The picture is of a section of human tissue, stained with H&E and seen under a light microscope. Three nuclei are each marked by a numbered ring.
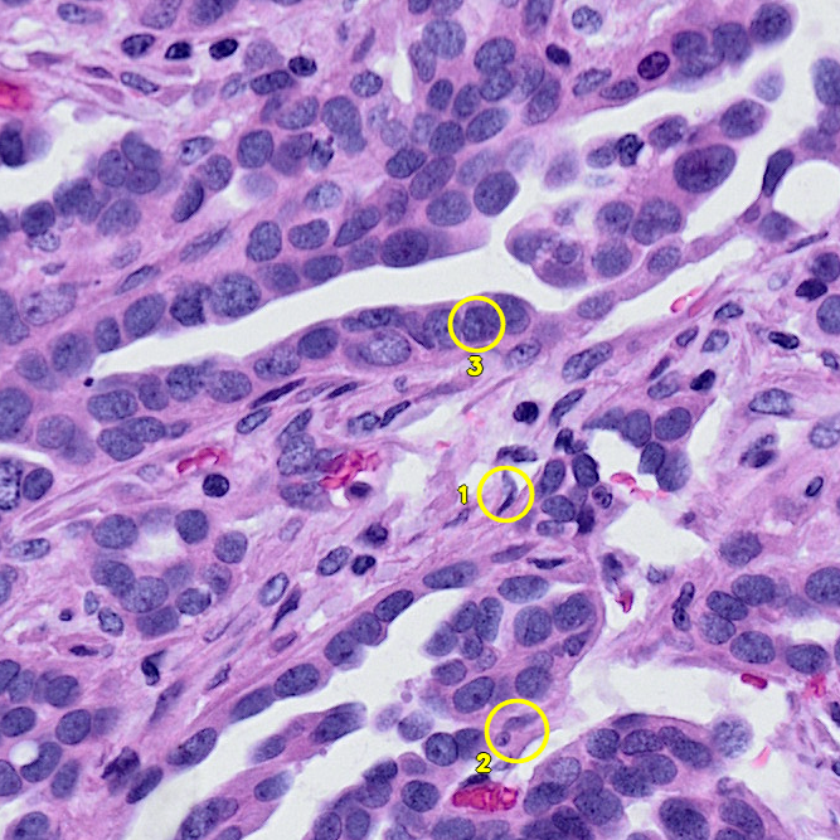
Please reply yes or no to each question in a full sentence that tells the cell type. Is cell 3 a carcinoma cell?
Yes, the cell at the mark numbered 3 is a carcinoma cell.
